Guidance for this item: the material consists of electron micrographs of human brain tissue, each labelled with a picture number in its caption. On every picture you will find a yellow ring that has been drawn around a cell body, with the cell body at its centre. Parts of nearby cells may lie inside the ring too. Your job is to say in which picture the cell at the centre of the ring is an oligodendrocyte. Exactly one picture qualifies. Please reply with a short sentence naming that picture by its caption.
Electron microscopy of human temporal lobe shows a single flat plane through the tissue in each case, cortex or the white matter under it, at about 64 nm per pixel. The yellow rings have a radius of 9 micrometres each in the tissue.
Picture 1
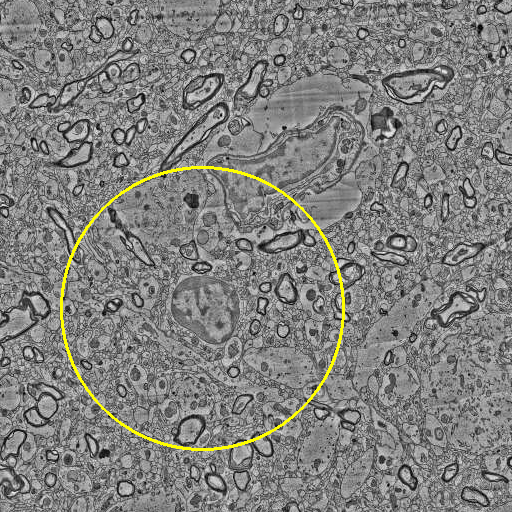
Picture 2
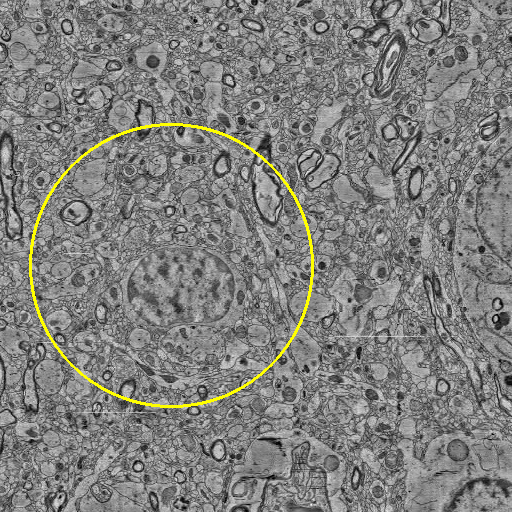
Picture 2 shows it at the centre of the ring.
